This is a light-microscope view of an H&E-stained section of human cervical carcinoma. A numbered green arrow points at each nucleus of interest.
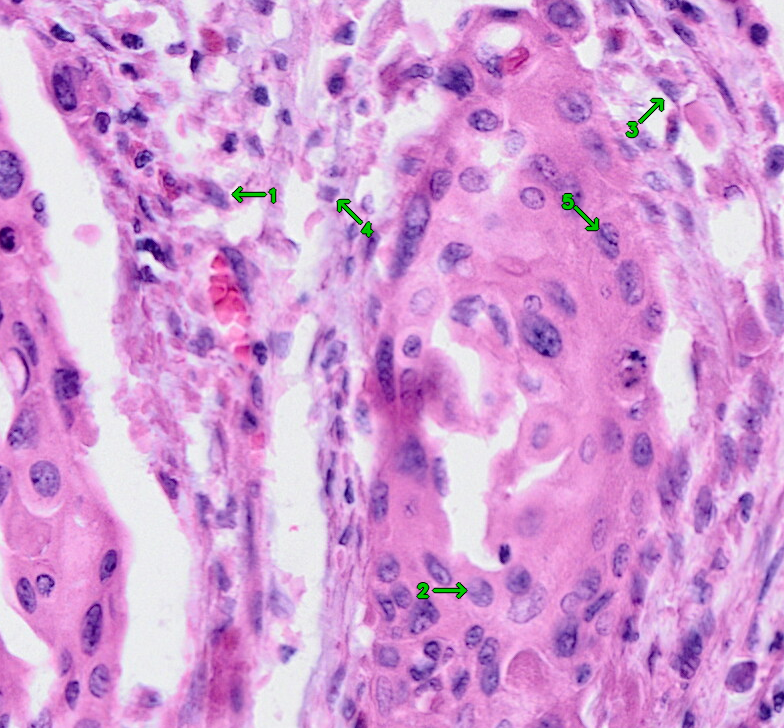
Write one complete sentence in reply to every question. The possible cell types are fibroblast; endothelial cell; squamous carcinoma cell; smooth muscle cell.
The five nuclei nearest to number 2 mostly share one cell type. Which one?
Of the five nuclei nearest to number 2, most belong to squamous carcinoma cells.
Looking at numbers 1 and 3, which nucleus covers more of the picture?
Nucleus 1 is larger, with an area about 1.5 times that of nucleus 3.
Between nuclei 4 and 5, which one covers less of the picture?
It is nucleus 4; nucleus 5 has about 2 times its area.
